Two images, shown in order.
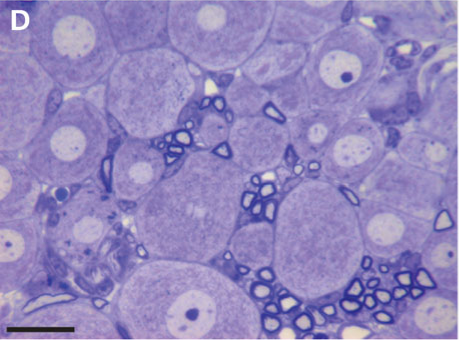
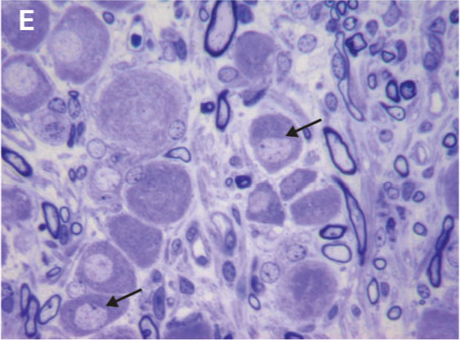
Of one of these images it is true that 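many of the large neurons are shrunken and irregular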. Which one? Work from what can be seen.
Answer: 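The second image. Second image: many neuron cell bodies are small, angular and irregular in outline. First image: neuron cell bodies are large, round and plump.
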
